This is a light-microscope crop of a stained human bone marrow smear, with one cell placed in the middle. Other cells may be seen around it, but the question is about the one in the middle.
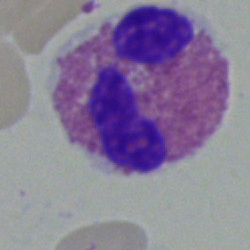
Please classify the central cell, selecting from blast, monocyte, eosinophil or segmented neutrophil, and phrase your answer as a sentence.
The cell at the heart of this crop is an eosinophil.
